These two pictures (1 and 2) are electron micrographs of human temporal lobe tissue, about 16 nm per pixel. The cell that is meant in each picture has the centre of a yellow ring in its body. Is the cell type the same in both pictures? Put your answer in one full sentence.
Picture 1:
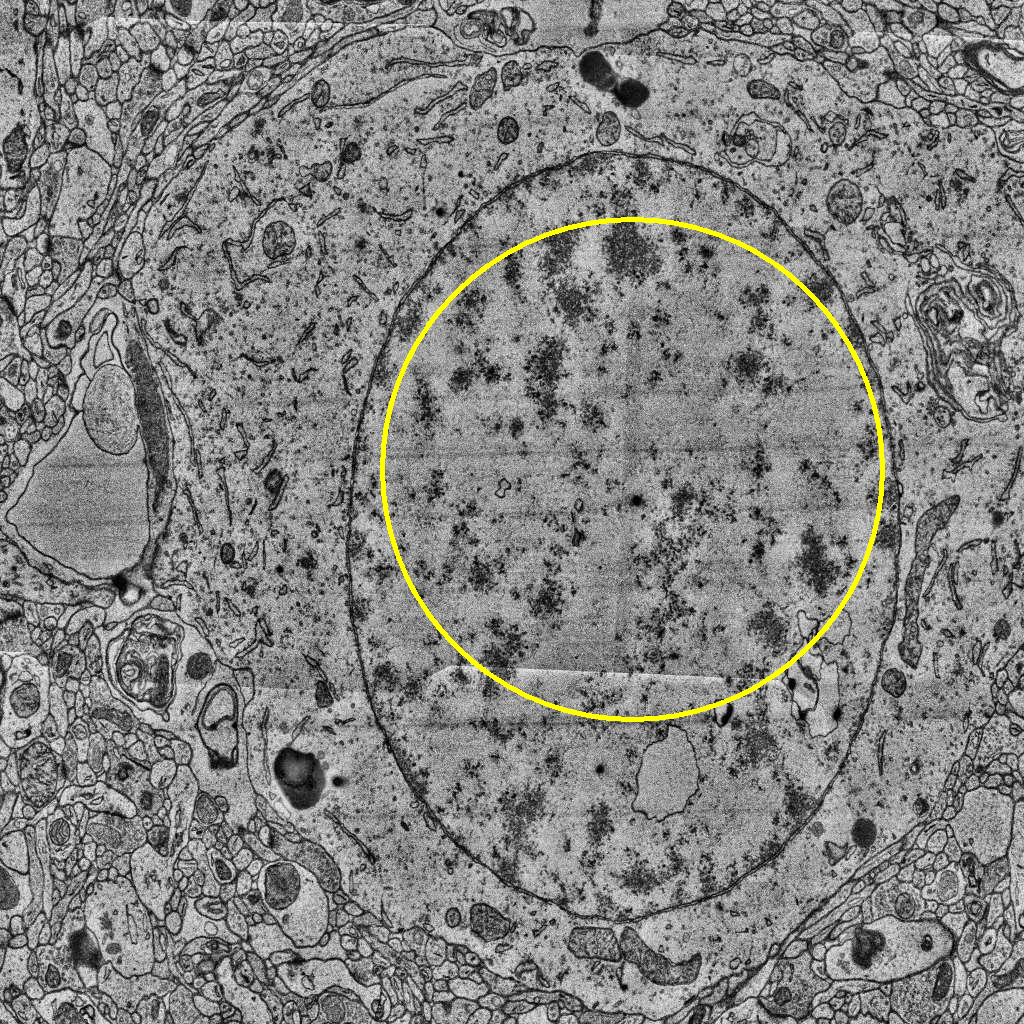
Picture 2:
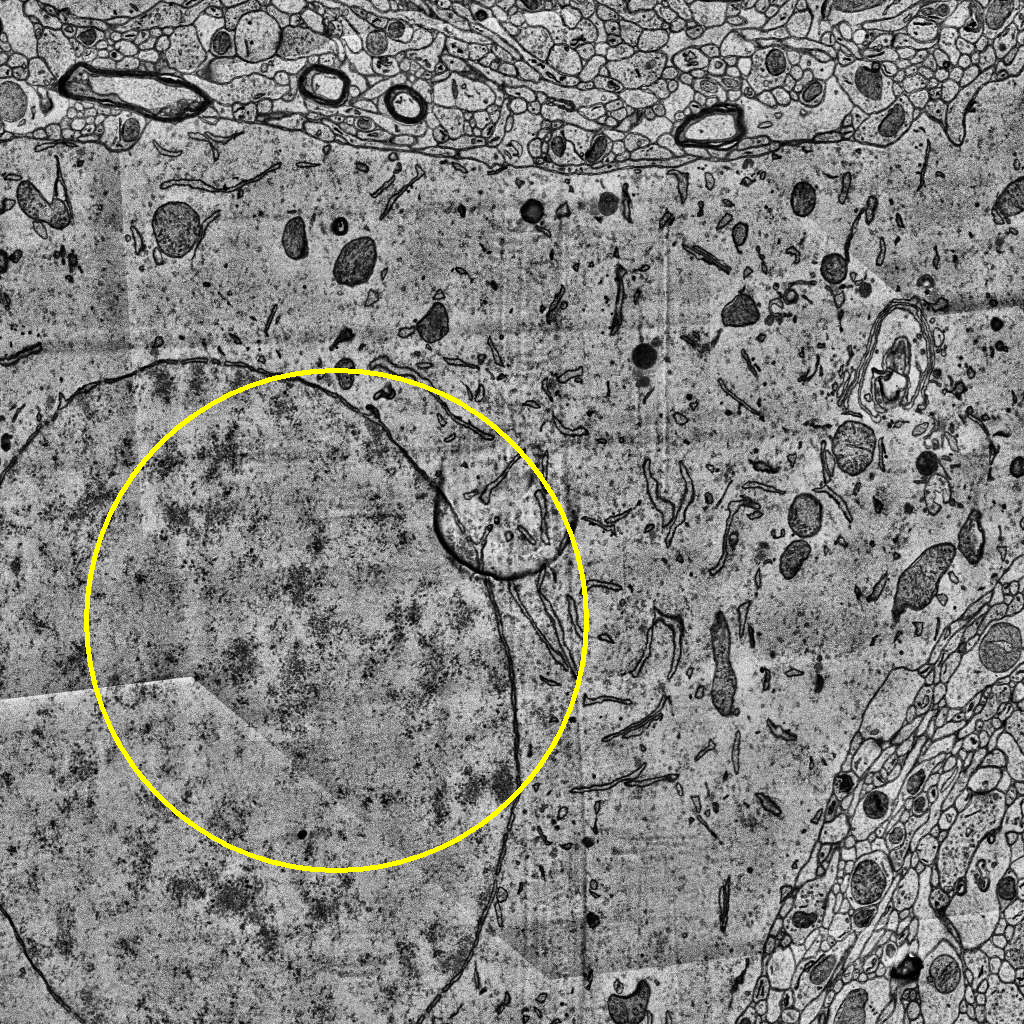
Yes, the two pictures both show pyramidal neurons.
